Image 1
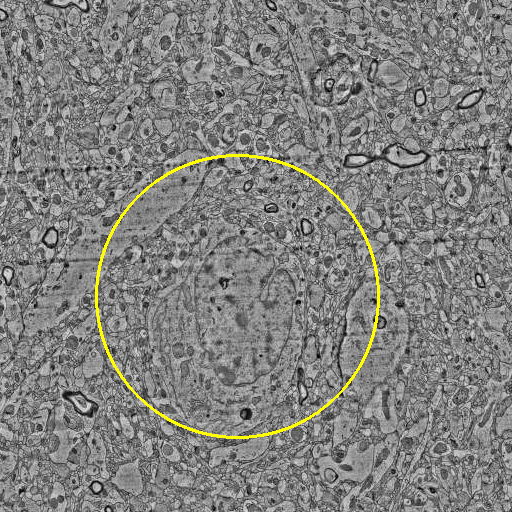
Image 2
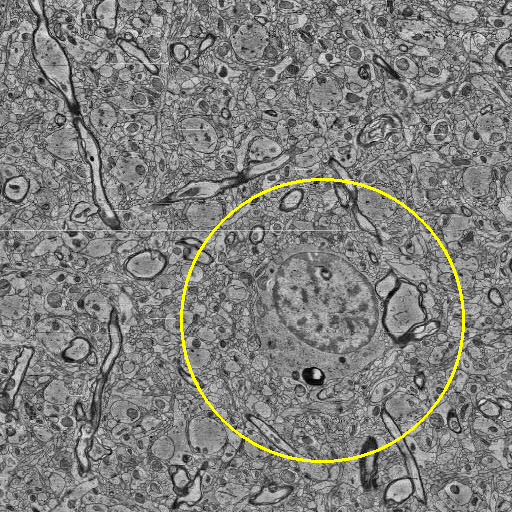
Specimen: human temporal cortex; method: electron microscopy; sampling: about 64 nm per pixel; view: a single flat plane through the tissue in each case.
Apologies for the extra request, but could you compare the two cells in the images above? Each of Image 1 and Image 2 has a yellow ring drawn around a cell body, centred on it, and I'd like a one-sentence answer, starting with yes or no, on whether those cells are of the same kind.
No, the two cells are of two kinds.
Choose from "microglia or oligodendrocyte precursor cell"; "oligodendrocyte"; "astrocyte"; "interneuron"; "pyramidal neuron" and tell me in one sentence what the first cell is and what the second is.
What the first ring is centred on is an interneuron; what the second ring is centred on is an oligodendrocyte.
